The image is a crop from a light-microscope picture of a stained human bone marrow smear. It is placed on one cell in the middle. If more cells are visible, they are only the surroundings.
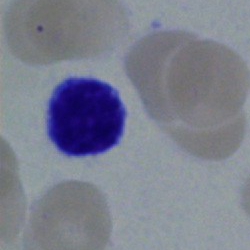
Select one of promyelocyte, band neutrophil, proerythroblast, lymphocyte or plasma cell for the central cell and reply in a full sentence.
The middle of this crop is occupied by a lymphocyte.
